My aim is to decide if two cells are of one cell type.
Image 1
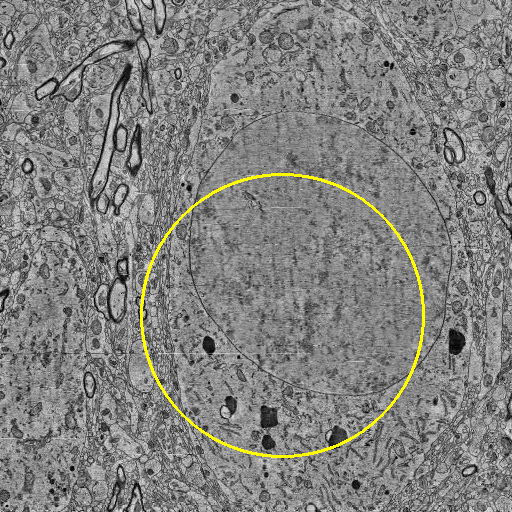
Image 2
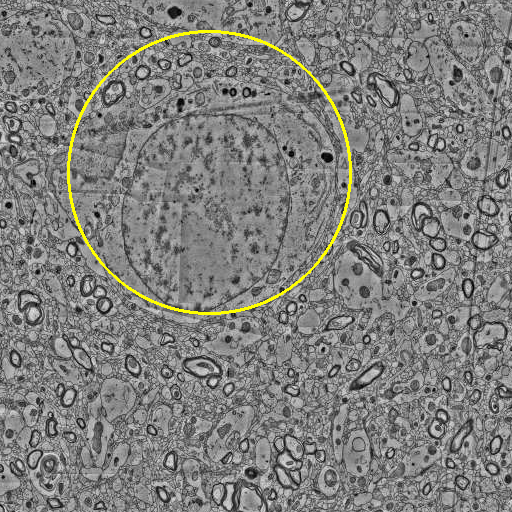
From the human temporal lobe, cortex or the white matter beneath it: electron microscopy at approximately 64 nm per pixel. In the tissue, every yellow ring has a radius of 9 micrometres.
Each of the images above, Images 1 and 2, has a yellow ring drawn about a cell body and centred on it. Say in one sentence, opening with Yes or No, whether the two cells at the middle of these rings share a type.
Yes, in Images 1 and 2 the cells at the middle of the rings share one type.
